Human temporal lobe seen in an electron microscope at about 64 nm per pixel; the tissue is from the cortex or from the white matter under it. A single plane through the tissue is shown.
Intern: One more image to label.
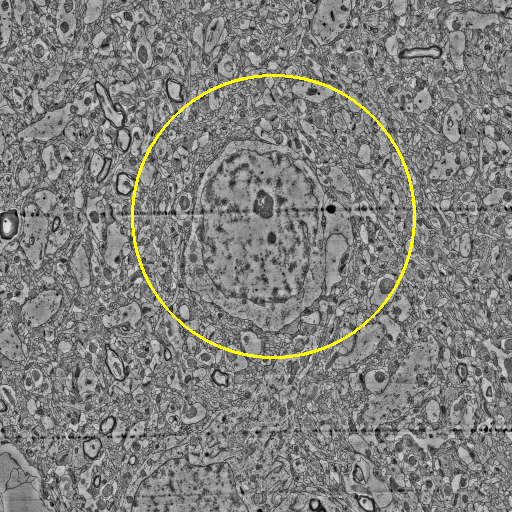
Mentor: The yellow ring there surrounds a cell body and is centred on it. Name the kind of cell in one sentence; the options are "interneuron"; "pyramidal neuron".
The ring marks the cell body of an interneuron.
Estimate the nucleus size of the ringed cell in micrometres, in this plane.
The nucleus measures about 10 by 8 micrometres in this plane.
